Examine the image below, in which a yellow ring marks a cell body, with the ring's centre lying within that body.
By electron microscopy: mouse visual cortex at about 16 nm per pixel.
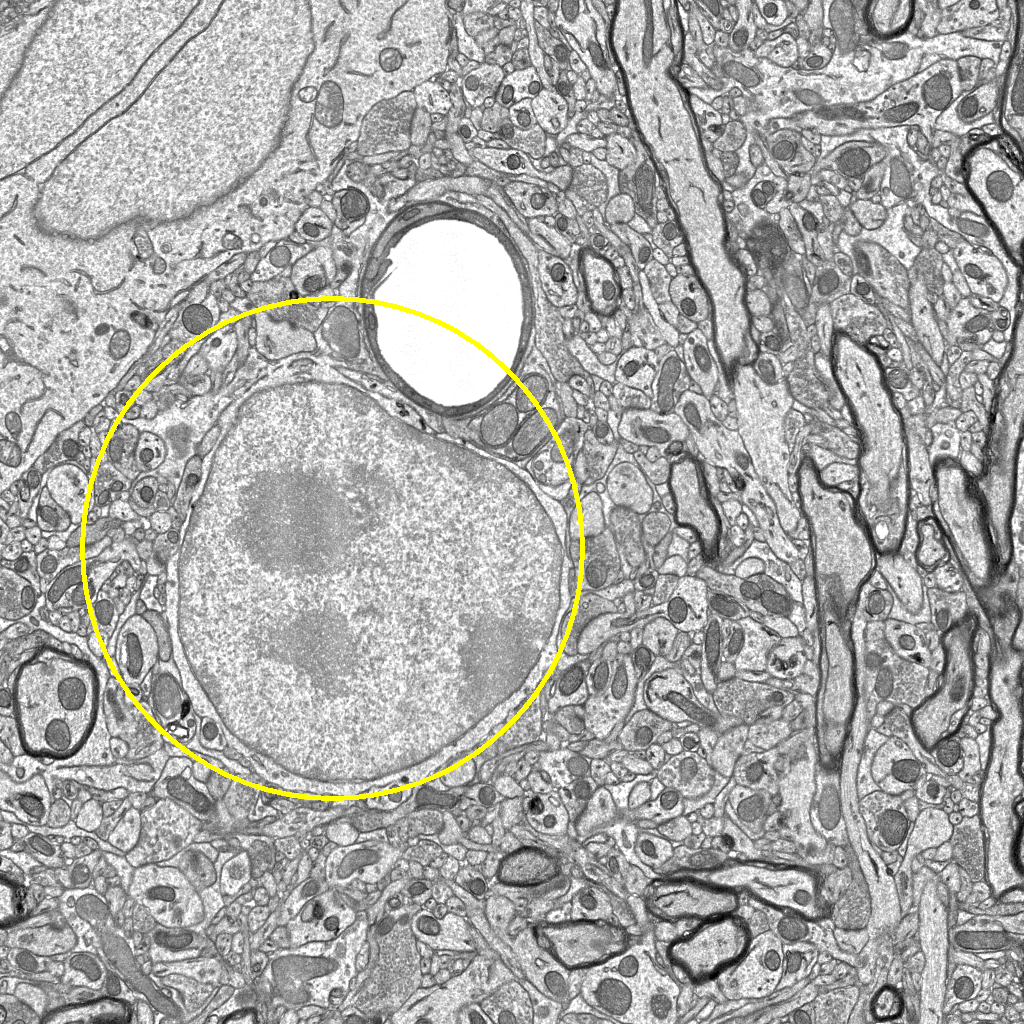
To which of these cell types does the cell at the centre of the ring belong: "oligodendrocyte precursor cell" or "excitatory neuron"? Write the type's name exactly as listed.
oligodendrocyte precursor cell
